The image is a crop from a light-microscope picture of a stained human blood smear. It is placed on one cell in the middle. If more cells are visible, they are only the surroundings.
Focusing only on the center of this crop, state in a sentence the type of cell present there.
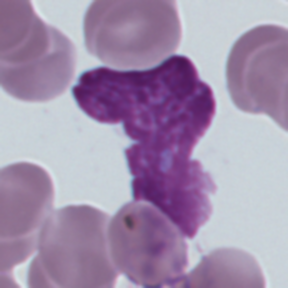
At the middle of the frame sits a smudge cell.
